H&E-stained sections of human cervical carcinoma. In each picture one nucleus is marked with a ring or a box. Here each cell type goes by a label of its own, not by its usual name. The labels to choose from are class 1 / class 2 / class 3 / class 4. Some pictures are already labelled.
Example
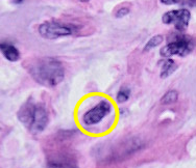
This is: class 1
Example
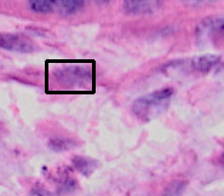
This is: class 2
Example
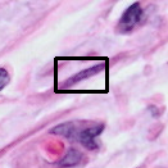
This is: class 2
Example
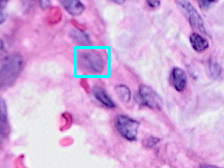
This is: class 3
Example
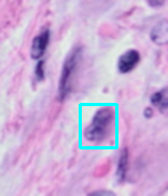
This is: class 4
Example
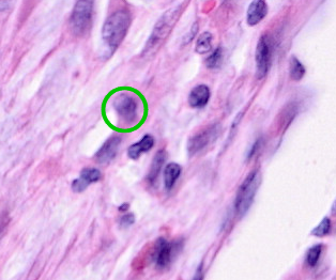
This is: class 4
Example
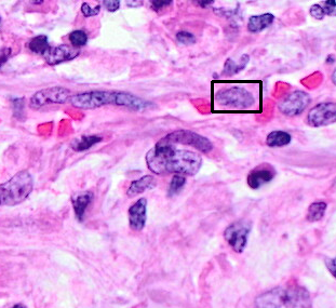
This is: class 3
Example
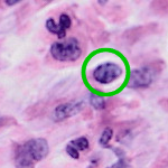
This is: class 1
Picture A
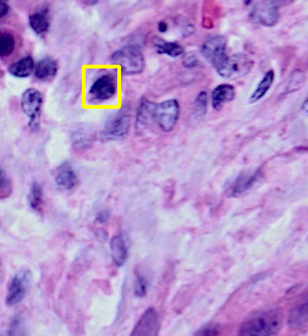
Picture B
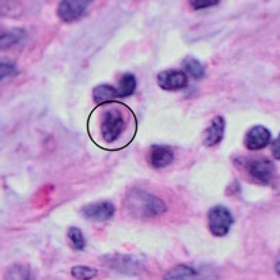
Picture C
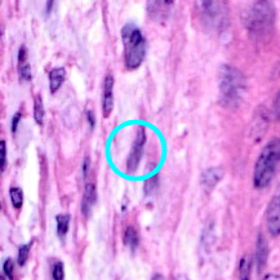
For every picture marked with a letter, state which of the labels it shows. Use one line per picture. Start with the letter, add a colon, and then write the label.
A: class 1
B: class 1
C: class 2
